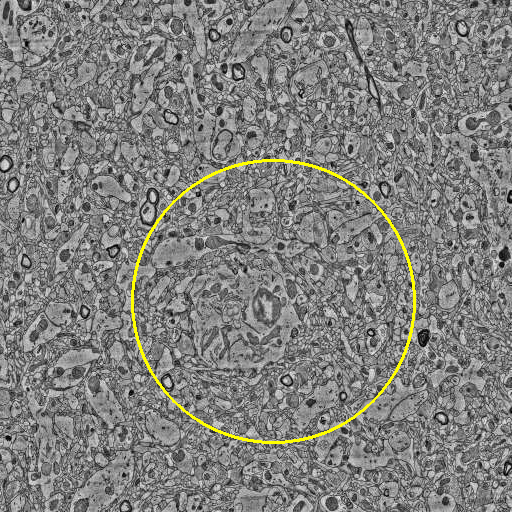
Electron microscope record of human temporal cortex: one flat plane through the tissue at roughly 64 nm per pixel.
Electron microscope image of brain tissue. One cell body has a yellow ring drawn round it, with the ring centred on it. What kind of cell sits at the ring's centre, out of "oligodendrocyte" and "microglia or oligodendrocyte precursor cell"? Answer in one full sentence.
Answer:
It is a microglial cell or oligodendrocyte precursor cell whose cell body sits at the centre of the yellow ring.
